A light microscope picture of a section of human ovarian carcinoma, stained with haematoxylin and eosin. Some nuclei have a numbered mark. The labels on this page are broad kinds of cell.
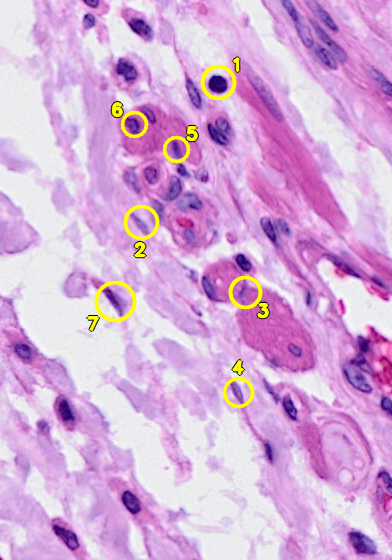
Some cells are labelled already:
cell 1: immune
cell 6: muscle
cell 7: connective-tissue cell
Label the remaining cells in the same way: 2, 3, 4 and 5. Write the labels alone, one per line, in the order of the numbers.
connective-tissue cell
muscle
connective-tissue cell
muscle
